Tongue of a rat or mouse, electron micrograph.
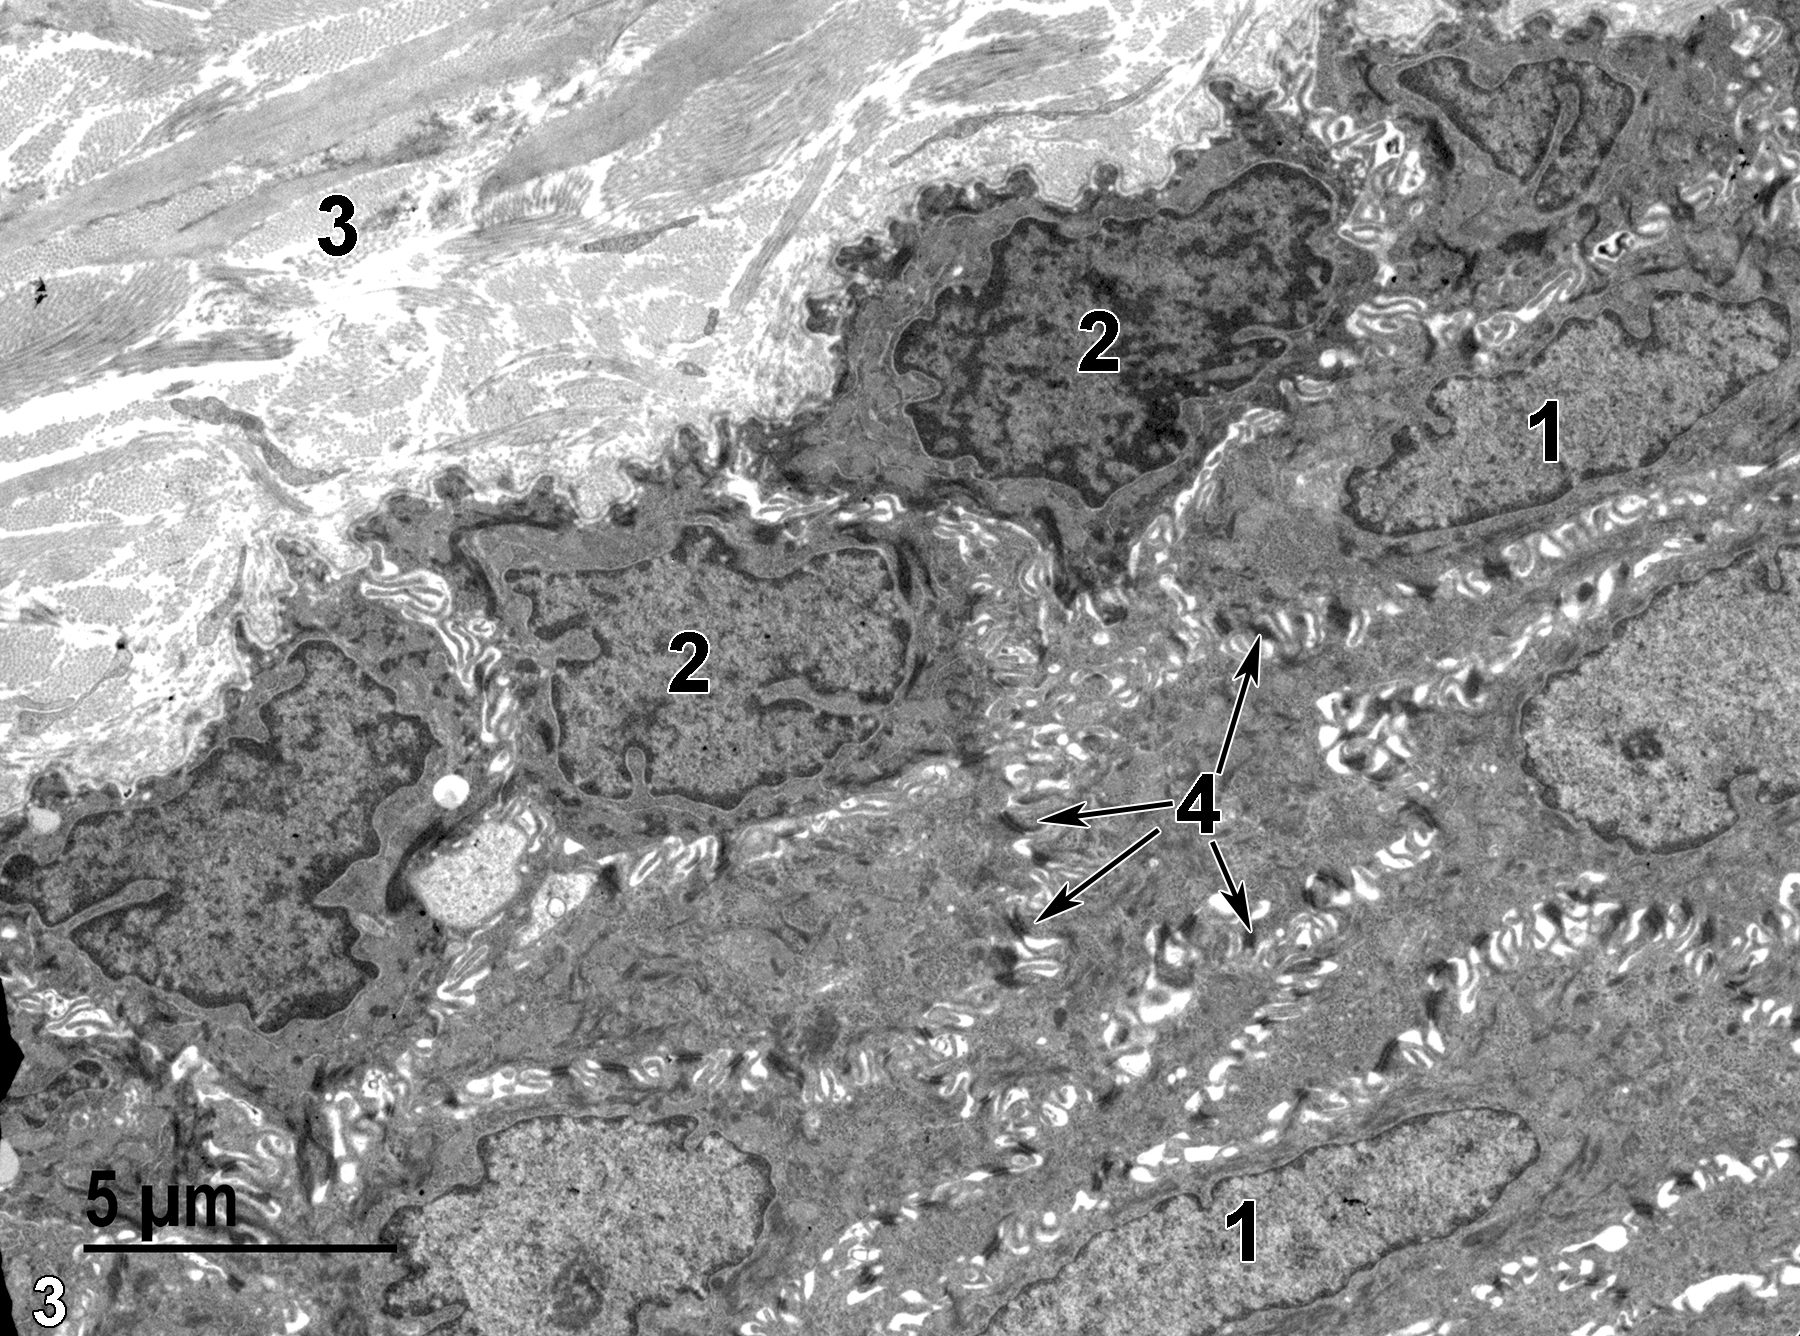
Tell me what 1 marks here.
1 marks the elongated nuclei.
